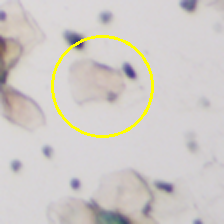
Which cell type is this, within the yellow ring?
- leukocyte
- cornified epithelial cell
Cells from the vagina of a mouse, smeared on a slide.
Within the ring is a cornified epithelial cell.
